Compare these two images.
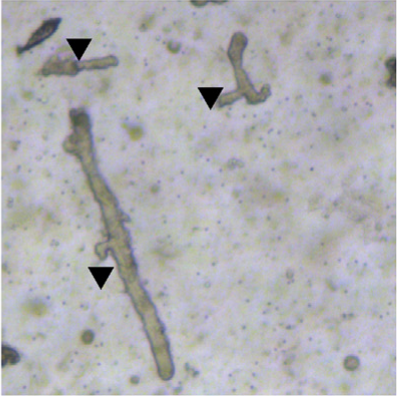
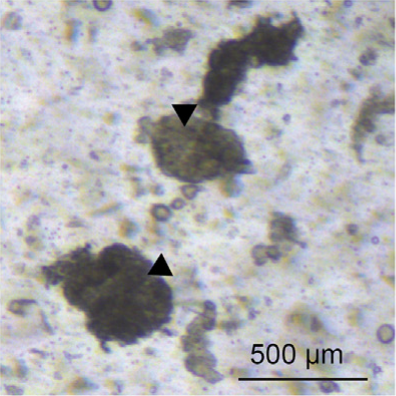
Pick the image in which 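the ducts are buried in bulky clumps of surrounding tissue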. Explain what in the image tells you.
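The second image. First image: pale, smooth, bare tubular fragments with nothing attached. Second image: large, dense, dark clumps of tissue with no clean duct outline.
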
